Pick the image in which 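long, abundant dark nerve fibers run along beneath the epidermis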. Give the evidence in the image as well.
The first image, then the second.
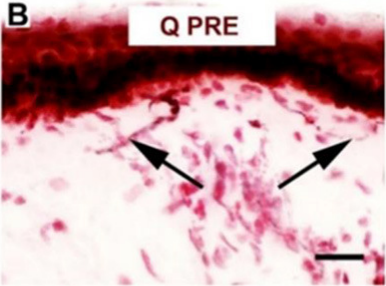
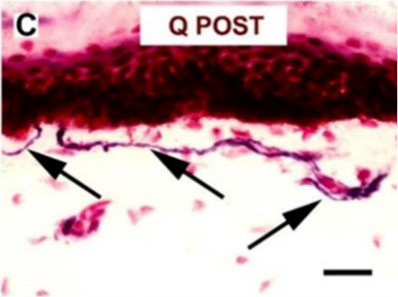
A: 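Second image: a long, continuous dark purple fiber runs for much of the panel's width just under the epidermis. First image: only a few short, faint fibers are seen below the epidermis.
The second image.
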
